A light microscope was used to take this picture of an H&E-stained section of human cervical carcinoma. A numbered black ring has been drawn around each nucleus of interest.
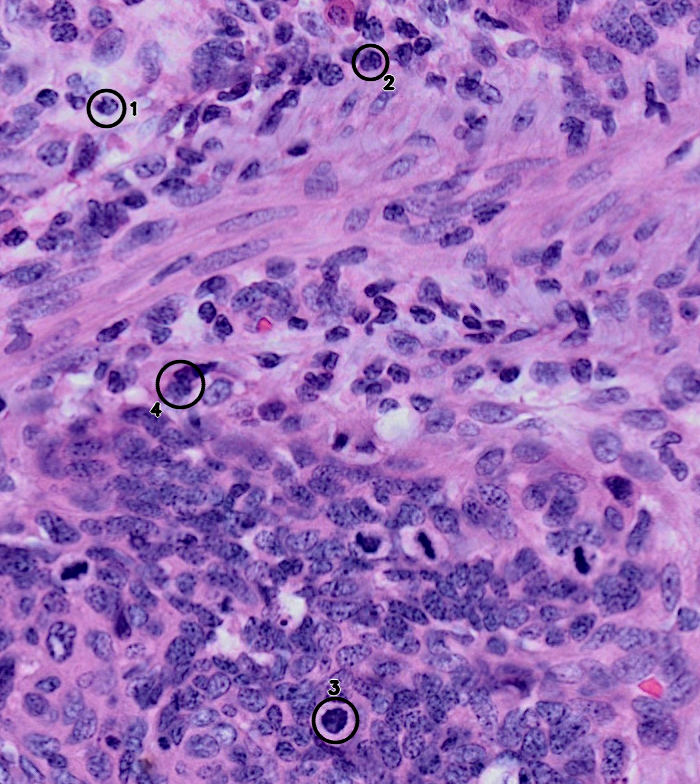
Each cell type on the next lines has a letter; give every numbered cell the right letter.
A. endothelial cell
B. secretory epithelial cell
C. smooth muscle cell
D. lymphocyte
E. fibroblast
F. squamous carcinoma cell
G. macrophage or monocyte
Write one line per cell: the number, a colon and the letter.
1: D
2: D
3: F
4: D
